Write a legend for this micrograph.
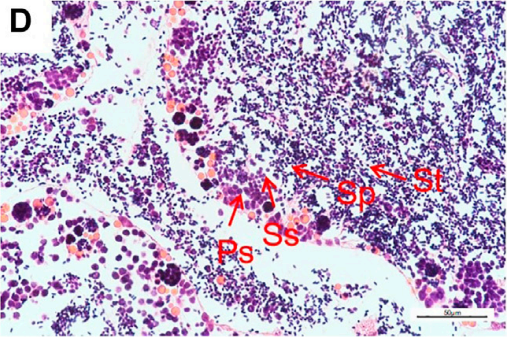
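This section of testis shows germ cells at several stages of sperm formation. Along the wall of the lobule lie rounded cells with purple-staining cytoplasm and nuclei, the larger ones being spermatocytes, with smaller cells nearer the lumen.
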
